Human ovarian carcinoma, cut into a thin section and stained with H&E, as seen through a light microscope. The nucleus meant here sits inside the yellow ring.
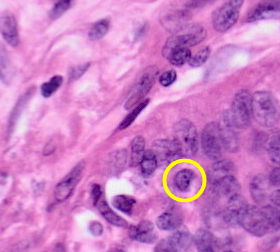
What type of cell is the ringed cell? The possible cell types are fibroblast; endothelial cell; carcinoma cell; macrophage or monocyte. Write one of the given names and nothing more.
macrophage or monocyte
